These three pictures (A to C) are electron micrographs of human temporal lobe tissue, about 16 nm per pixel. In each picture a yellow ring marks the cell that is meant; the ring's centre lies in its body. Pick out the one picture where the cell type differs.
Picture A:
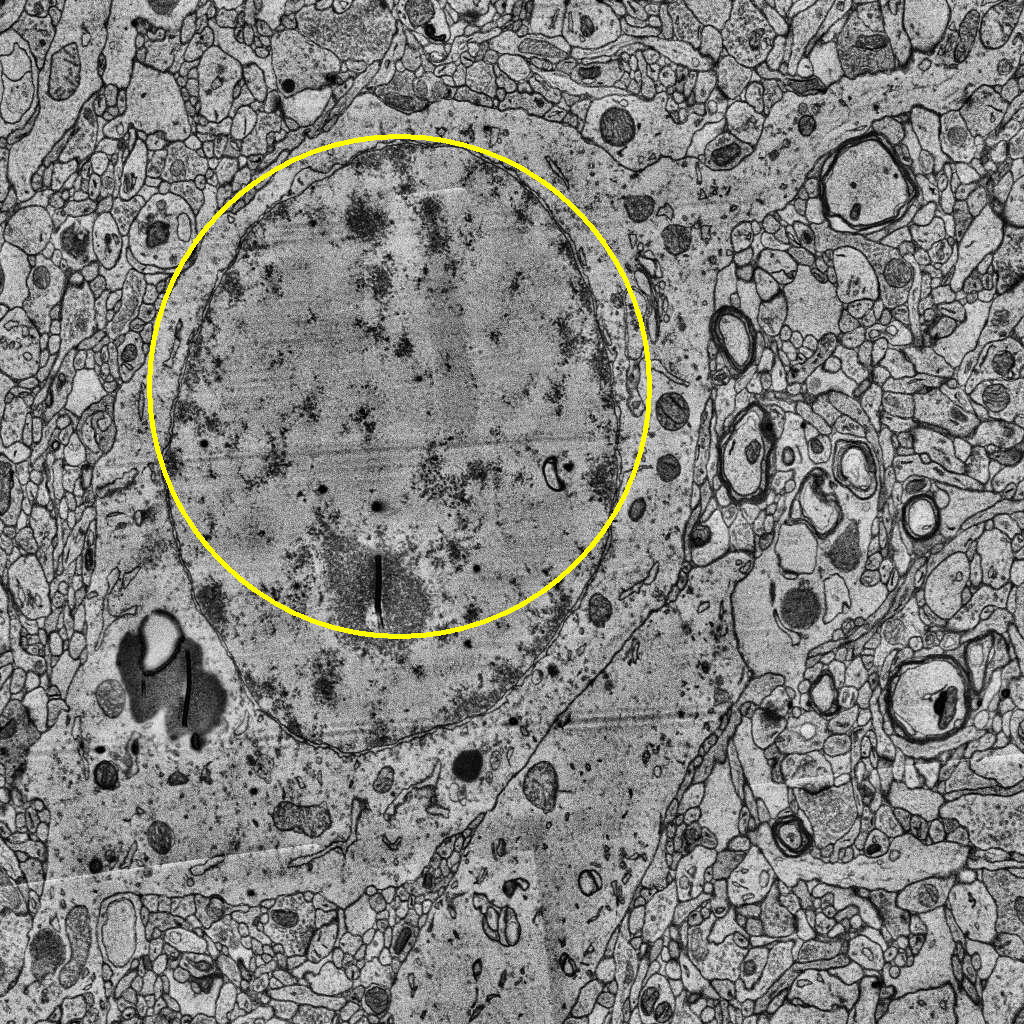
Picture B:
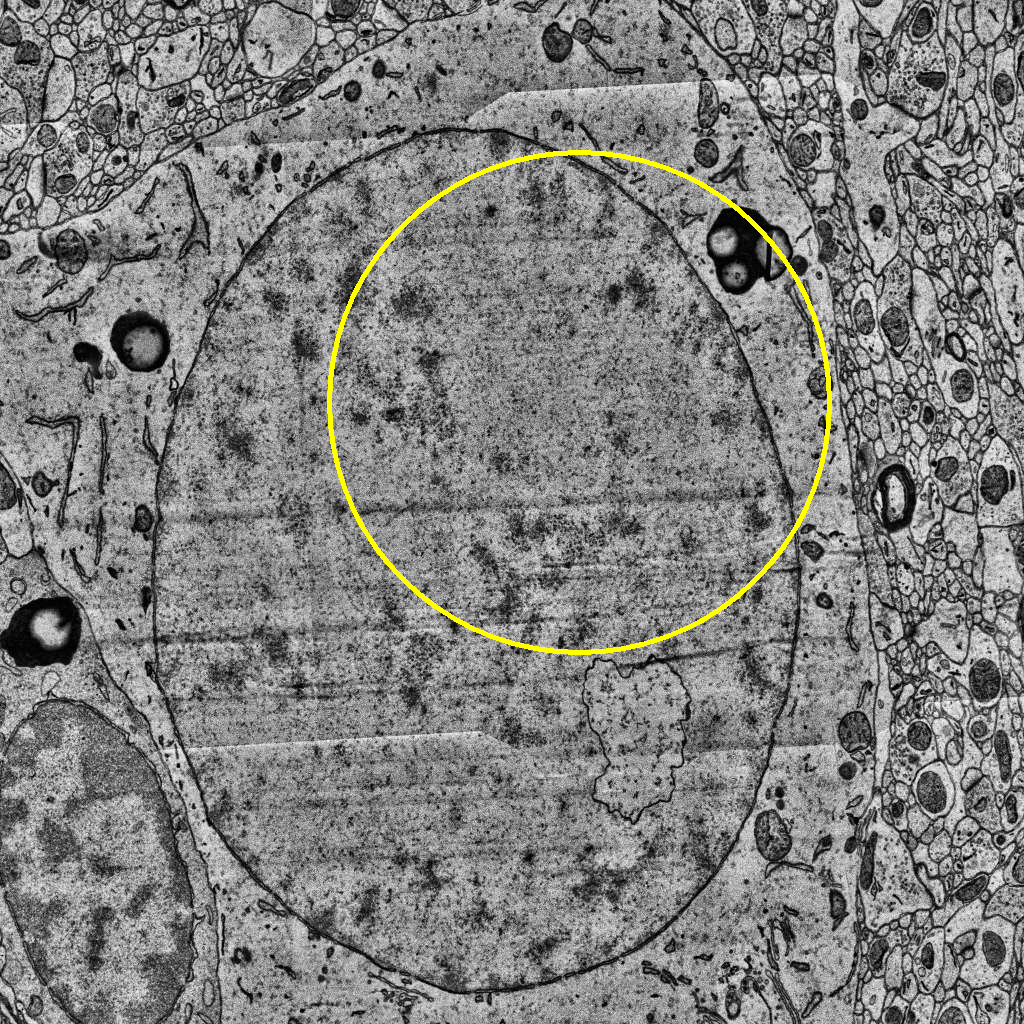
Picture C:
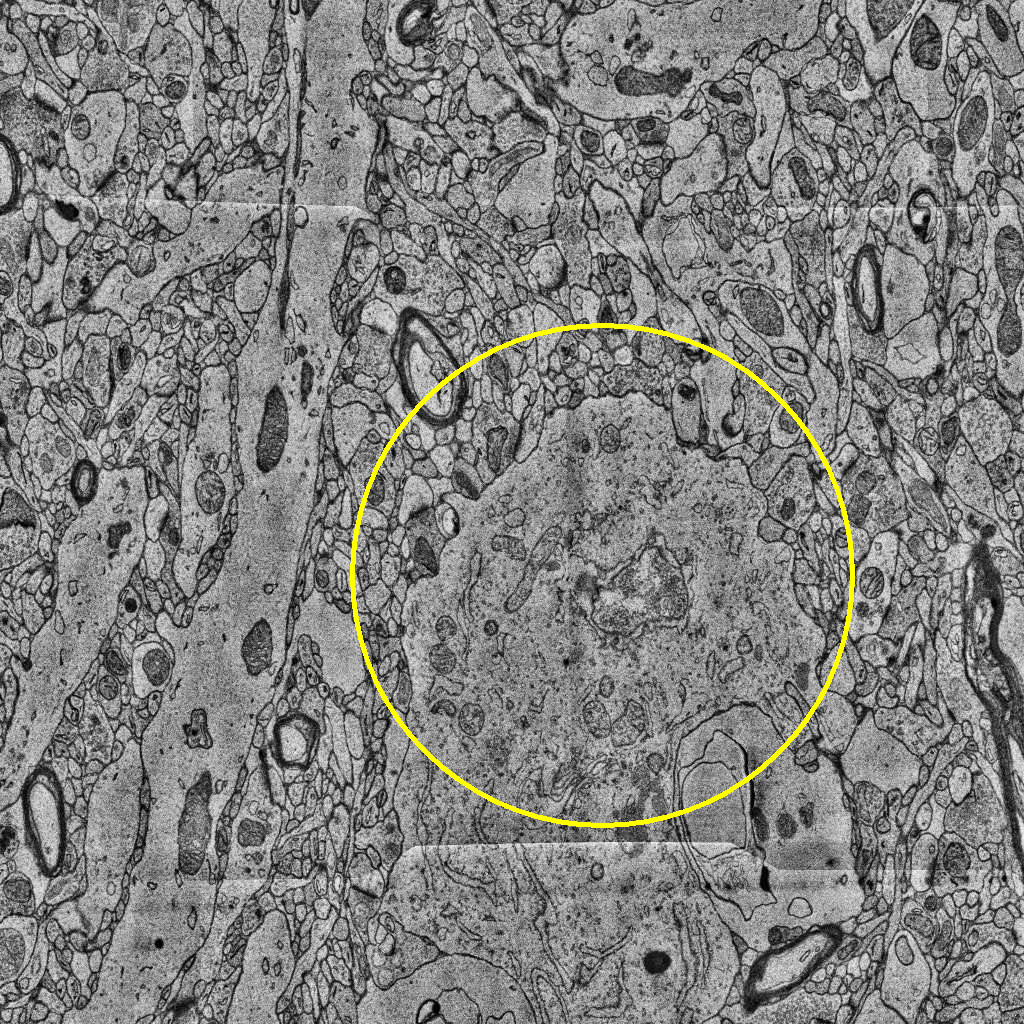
Unlike the rest, which show interneurons, picture B shows a pyramidal neuron.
